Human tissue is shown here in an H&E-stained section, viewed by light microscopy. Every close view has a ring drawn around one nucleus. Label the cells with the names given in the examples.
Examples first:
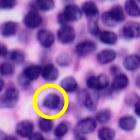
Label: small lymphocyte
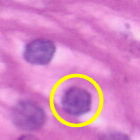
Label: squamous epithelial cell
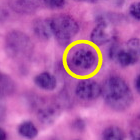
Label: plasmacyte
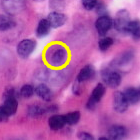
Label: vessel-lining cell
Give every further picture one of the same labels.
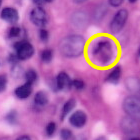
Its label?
vessel-lining cell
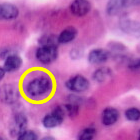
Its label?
plasmacyte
